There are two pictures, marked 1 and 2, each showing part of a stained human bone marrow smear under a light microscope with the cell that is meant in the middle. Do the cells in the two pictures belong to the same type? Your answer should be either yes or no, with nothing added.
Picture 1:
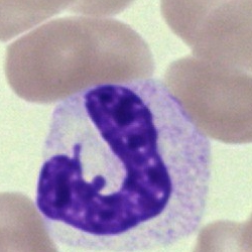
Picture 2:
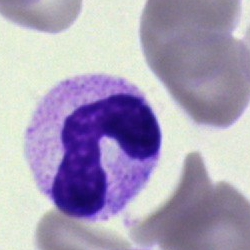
yes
